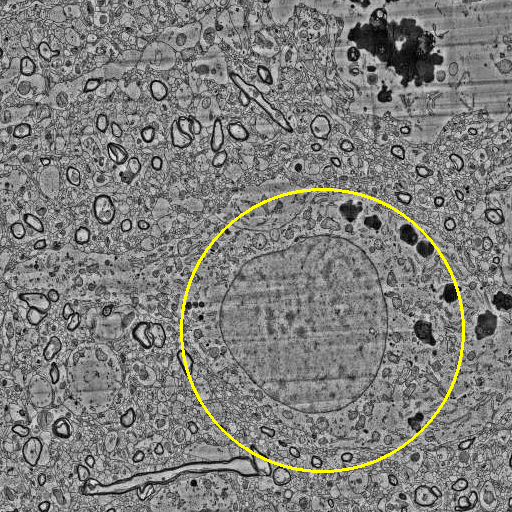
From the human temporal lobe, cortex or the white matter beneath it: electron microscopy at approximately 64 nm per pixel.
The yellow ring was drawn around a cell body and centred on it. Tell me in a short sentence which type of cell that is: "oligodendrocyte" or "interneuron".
The cell at the ring's centre is an interneuron.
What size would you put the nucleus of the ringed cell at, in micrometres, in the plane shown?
Roughly 11 micrometers across in this plane.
